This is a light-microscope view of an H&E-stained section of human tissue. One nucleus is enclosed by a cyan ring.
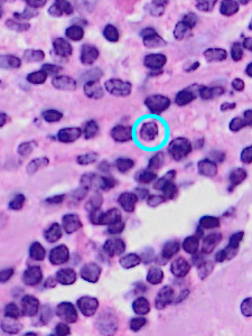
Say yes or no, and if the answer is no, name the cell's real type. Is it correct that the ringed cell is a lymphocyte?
Yes.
